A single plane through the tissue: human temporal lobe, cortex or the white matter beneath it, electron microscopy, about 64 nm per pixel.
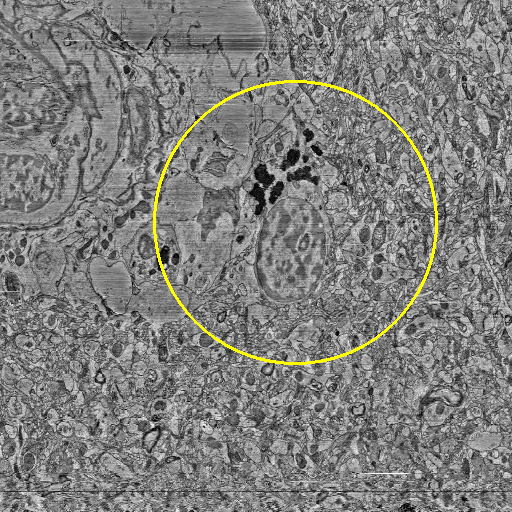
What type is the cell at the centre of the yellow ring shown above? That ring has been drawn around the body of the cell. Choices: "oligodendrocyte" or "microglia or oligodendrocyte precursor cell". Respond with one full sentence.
My answer is that an oligodendrocyte lies at the centre of the yellow ring above.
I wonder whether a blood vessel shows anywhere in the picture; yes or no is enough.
Yes, one appears.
